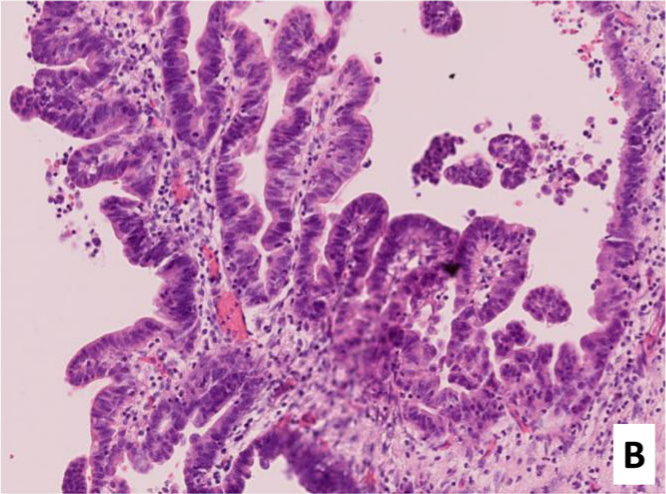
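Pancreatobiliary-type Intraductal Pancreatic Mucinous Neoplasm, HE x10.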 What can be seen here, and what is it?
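This shows a dysplastic duct lining with high-grade features, forming complex branching papillae that project into a lumen. Each papilla has a thin core of loose pink stroma with small vessels and some red blood cells, covered by columnar epithelium. The epithelial nuclei are elongated, crowded and darkly stained, stacked into several layers rather than sitting in a single basal row, and the cytoplasm is purple with little clear mucin. Small detached clusters of epithelial cells and scattered loose cells float in the pale lumen. At the edge, a flatter stretch of lining continues along the duct wall.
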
